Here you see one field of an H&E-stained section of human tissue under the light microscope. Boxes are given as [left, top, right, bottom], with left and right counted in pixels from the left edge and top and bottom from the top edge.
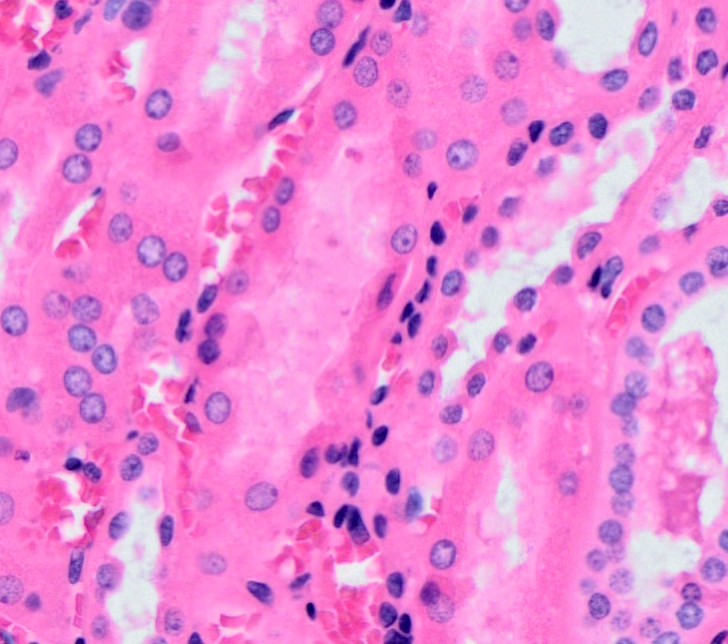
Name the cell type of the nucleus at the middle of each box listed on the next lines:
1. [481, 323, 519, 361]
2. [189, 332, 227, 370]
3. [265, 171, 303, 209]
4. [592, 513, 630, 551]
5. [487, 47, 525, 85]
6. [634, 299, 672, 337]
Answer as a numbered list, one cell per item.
1. loop of Henle or distal tubule cell
2. proximal tubule cell
3. proximal tubule cell
4. collecting duct cell
5. proximal tubule cell
6. collecting duct cell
